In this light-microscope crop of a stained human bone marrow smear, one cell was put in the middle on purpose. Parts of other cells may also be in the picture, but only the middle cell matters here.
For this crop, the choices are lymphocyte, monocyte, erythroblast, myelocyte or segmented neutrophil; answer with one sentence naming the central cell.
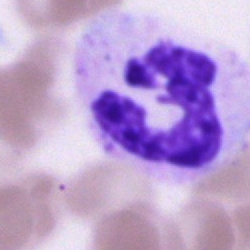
Within this crop, a segmented neutrophil occupies the central position.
